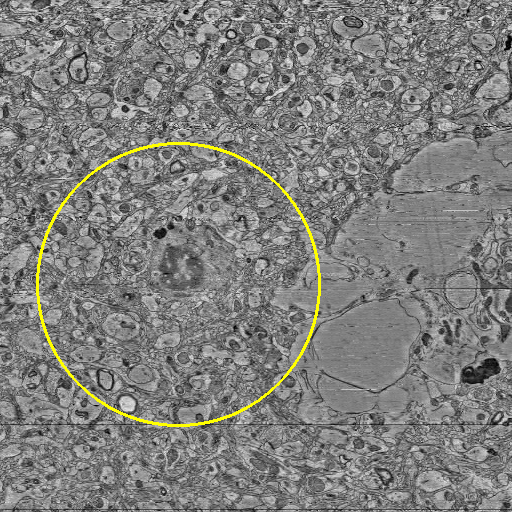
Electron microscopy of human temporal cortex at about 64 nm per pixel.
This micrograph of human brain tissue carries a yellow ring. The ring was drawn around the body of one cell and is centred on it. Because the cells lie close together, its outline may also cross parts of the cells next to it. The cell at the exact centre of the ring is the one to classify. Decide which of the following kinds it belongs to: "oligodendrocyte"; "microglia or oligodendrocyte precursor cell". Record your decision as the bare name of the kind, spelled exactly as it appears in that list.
oligodendrocyte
